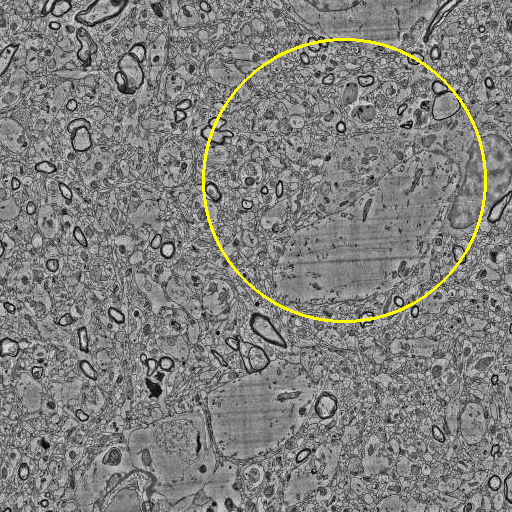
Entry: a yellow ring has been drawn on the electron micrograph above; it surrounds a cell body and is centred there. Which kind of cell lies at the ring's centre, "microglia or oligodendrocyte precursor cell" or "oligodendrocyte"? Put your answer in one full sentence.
The cell sitting at the ring's centre is an oligodendrocyte in the micrograph above.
